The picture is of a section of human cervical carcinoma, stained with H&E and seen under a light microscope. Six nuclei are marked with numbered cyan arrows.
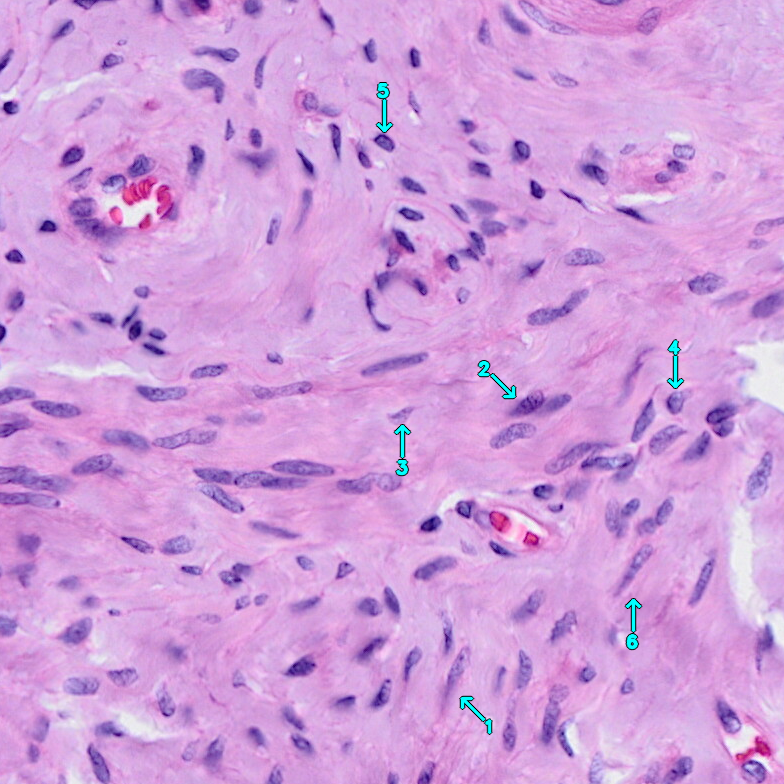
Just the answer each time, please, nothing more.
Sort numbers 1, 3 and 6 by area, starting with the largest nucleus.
6, 1, 3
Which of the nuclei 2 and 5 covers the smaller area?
5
